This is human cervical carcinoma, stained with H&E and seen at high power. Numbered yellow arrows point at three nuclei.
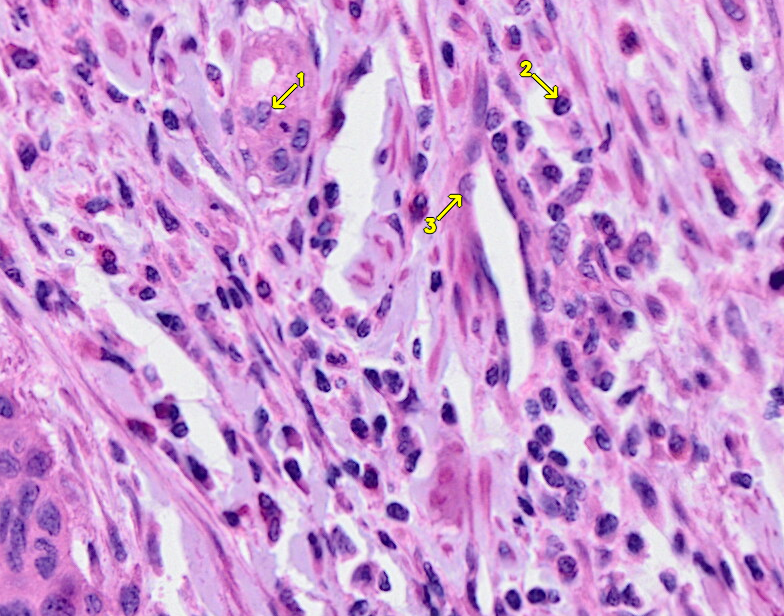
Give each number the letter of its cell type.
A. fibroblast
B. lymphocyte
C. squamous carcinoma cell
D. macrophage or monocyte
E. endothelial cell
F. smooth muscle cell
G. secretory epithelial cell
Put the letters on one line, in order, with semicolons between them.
E; B; E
